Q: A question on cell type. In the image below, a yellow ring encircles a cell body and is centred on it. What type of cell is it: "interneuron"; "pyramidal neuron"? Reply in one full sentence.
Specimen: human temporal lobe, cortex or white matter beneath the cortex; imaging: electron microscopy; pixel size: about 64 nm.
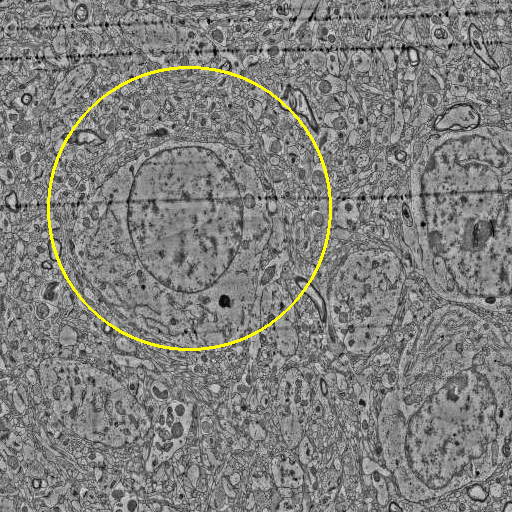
It is a pyramidal neuron whose cell body sits at the centre of the yellow ring in the image.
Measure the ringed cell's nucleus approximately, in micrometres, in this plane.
In this plane, roughly 9 by 7 micrometres.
